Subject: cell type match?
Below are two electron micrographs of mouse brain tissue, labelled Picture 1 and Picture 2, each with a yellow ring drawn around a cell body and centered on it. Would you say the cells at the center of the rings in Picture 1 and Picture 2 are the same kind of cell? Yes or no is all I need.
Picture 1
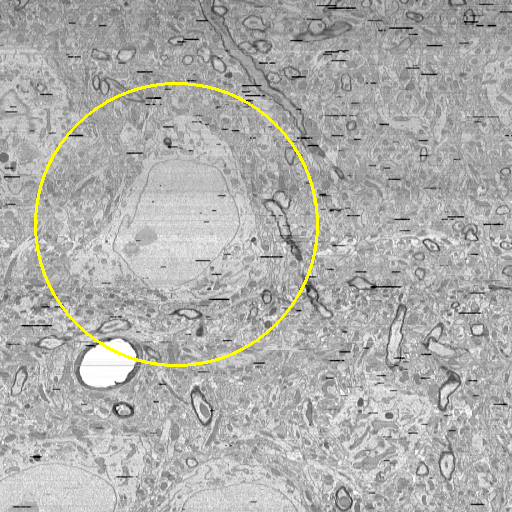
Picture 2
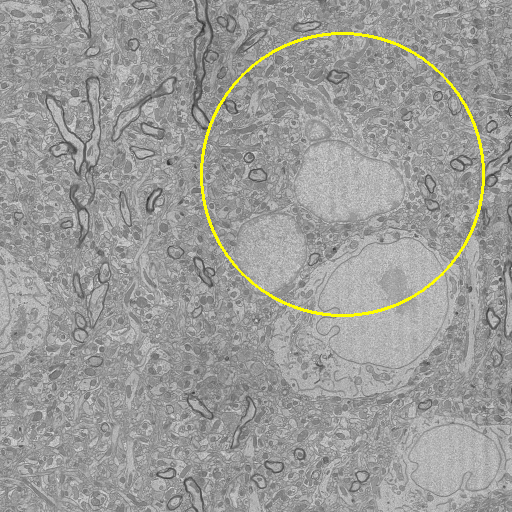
no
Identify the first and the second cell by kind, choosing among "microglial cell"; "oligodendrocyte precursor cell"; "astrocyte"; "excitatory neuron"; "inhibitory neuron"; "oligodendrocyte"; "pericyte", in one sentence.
The one in the first picture is an excitatory neuron, while the one in the second is an astrocyte.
